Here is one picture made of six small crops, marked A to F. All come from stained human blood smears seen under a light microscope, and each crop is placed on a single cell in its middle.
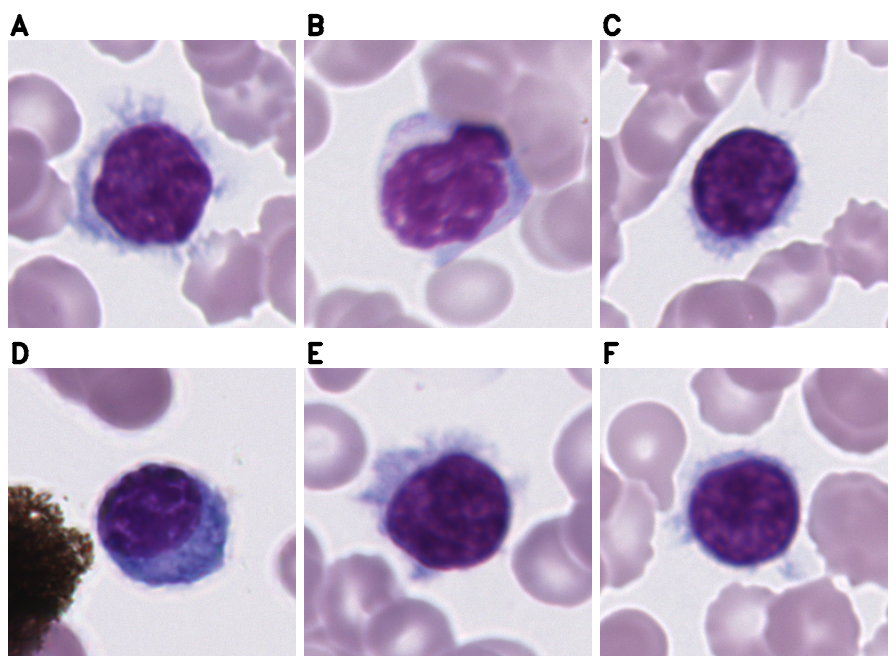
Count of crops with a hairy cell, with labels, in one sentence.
Crops A, C, E and F contain hairy cells, which puts the count at four.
